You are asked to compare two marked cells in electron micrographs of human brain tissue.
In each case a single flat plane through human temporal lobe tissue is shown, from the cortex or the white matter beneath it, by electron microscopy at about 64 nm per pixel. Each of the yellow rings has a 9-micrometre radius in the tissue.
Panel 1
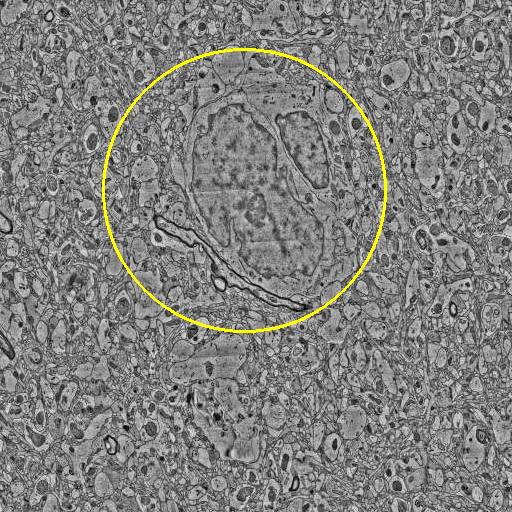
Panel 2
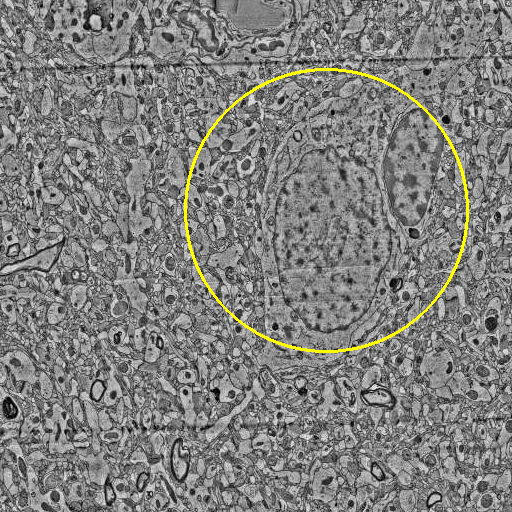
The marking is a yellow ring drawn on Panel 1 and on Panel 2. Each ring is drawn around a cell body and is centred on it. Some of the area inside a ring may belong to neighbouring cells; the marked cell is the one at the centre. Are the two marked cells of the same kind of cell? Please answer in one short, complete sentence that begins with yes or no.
Yes, the two marked cells are of the same kind.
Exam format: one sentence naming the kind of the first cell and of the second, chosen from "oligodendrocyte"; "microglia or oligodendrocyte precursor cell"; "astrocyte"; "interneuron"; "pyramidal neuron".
In the first picture and in the second, the ring is centred on an interneuron.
